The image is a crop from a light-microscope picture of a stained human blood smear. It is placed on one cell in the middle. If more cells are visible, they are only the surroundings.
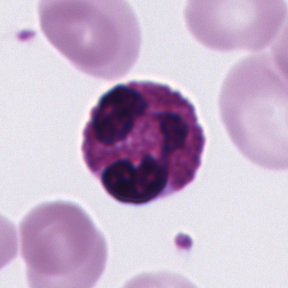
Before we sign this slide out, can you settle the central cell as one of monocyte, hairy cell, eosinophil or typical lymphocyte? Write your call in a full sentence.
Where the crop is centred, there is an eosinophil.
